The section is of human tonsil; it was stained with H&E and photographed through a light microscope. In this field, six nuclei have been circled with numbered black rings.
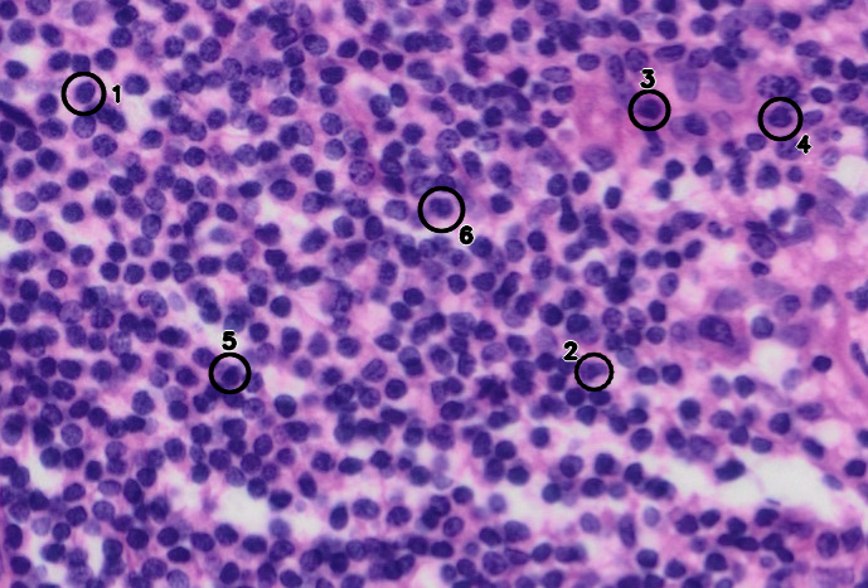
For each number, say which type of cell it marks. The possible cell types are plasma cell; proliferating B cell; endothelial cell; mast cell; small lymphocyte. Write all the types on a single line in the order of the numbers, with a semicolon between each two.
small lymphocyte; small lymphocyte; endothelial cell; plasma cell; small lymphocyte; small lymphocyte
